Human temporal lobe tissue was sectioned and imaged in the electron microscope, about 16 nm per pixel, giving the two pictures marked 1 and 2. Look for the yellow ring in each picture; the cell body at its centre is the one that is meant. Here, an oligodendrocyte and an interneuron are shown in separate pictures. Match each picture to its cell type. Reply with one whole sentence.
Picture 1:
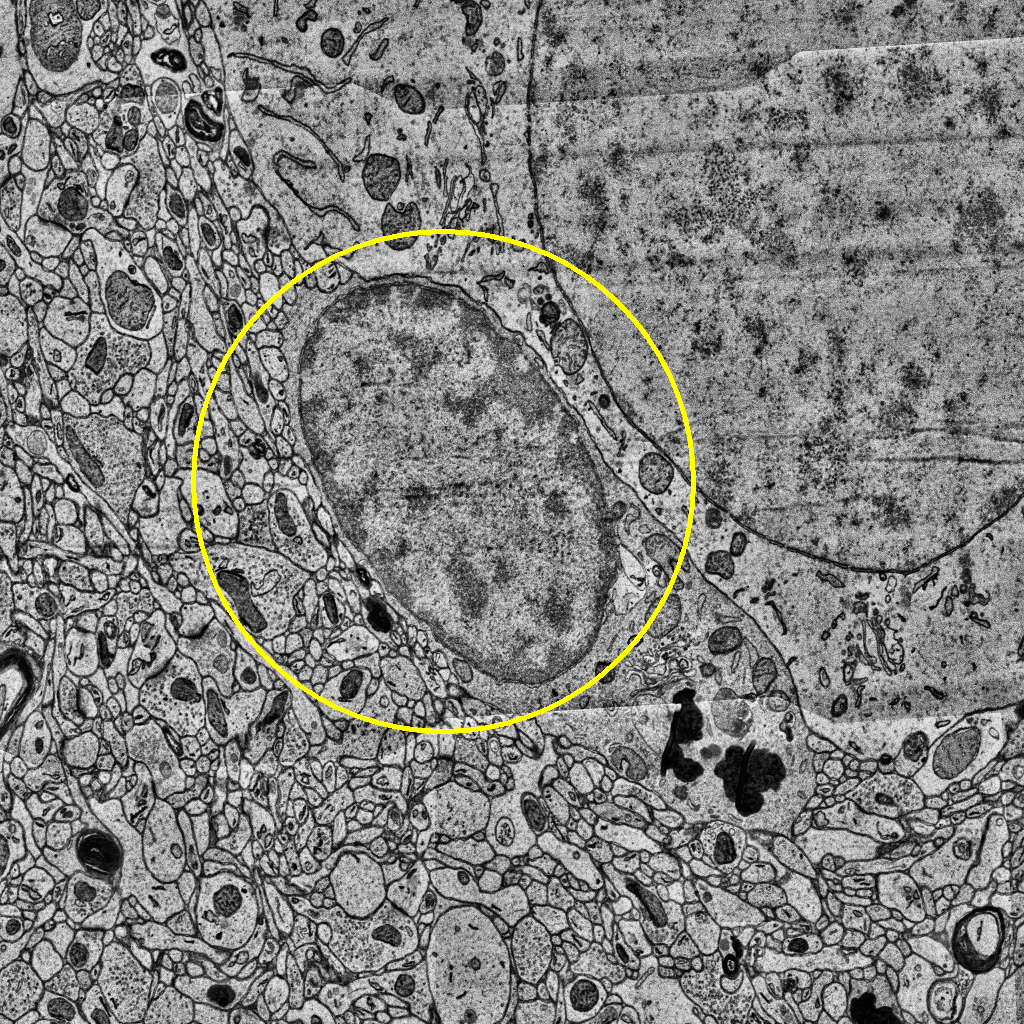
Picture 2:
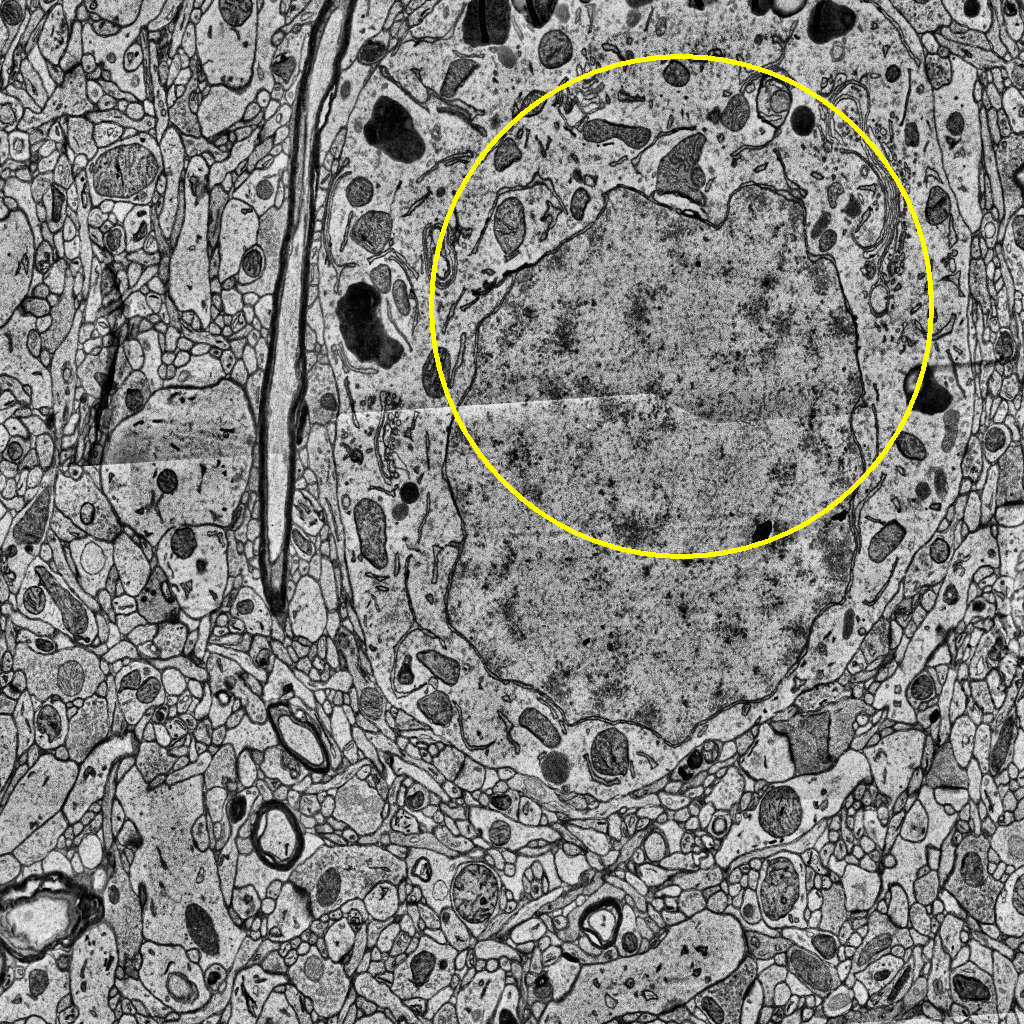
The cell in picture 1 is an oligodendrocyte, and the one in picture 2 is an interneuron.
